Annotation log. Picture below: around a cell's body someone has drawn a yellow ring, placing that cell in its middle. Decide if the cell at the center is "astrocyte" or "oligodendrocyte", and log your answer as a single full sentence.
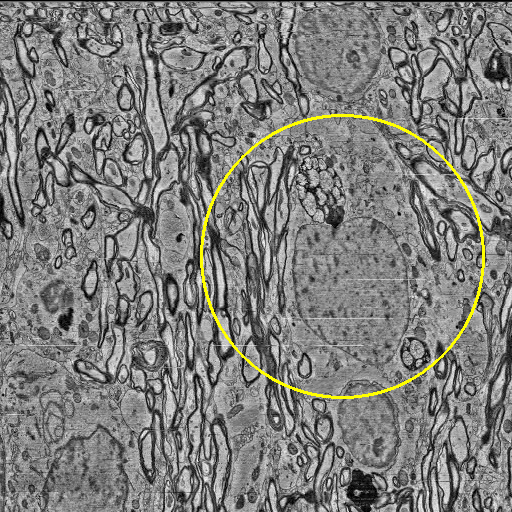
My entry records an astrocyte as the cell sitting at the center of the yellow ring.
